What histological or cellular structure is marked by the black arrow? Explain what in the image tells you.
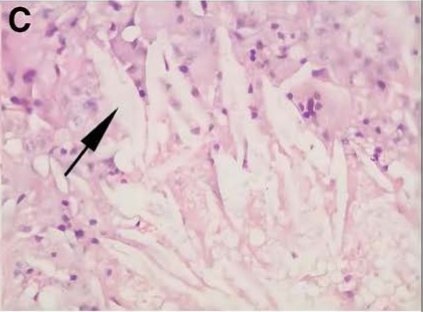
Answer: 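Many empty, needle-shaped clefts lie in pink material. The clefts are long, pointed and arranged in radiating bundles. So: Cholesterol crystal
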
